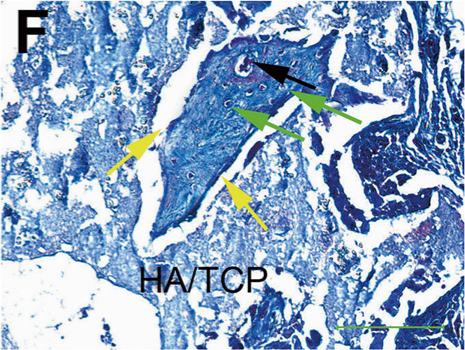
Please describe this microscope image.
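A large elongated island of bone stained deep blue lies within the paler blue, porous scaffold material. Cells are embedded singly in small spaces within the blue matrix, and cells line its outer surface, with a small round opening within the island.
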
